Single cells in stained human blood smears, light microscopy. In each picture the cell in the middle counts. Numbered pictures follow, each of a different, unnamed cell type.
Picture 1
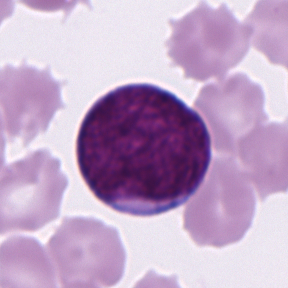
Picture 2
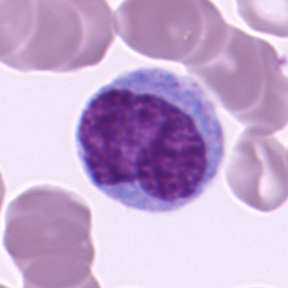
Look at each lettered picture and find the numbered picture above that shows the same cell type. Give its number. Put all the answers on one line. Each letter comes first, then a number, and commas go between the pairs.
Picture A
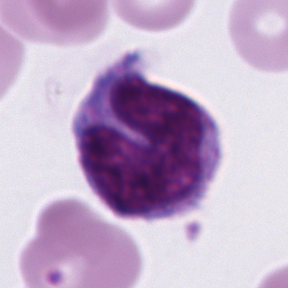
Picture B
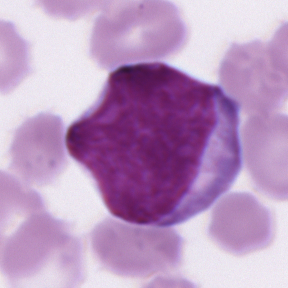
A 2, B 1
